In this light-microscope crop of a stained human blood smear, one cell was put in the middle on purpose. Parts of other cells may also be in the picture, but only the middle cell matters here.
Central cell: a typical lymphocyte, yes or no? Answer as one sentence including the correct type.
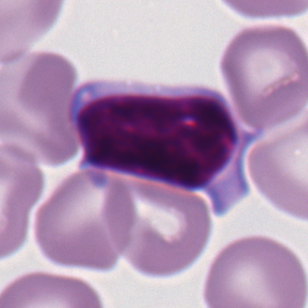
Yes, the cell found in the middle is a typical lymphocyte.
